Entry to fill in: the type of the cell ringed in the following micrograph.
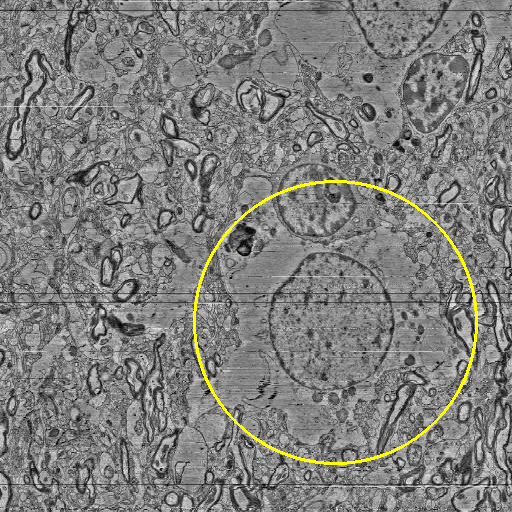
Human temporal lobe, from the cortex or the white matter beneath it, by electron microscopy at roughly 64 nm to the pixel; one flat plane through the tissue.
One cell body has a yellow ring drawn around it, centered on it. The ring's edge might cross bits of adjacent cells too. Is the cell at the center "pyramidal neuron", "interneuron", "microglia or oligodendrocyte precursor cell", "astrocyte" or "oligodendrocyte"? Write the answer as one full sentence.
This entry names an astrocyte as the cell whose body lies at the ring's center.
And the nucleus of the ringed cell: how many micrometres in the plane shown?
In this plane the nucleus spans approximately 9 by 8 micrometers.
